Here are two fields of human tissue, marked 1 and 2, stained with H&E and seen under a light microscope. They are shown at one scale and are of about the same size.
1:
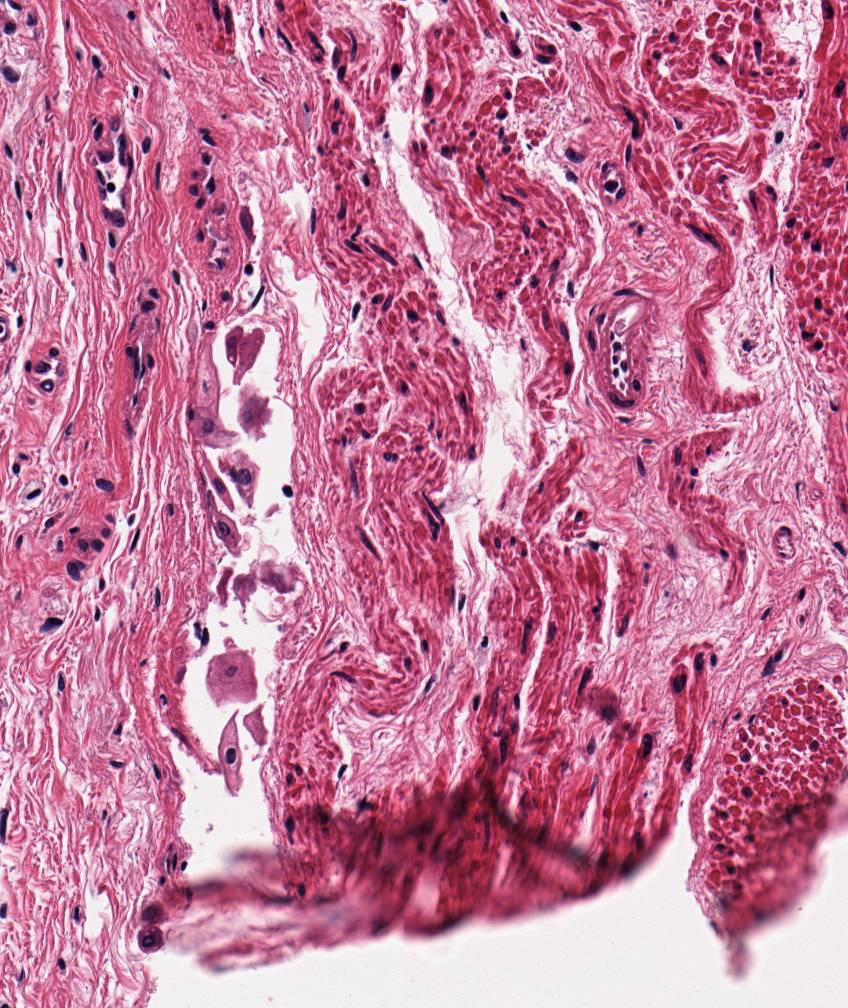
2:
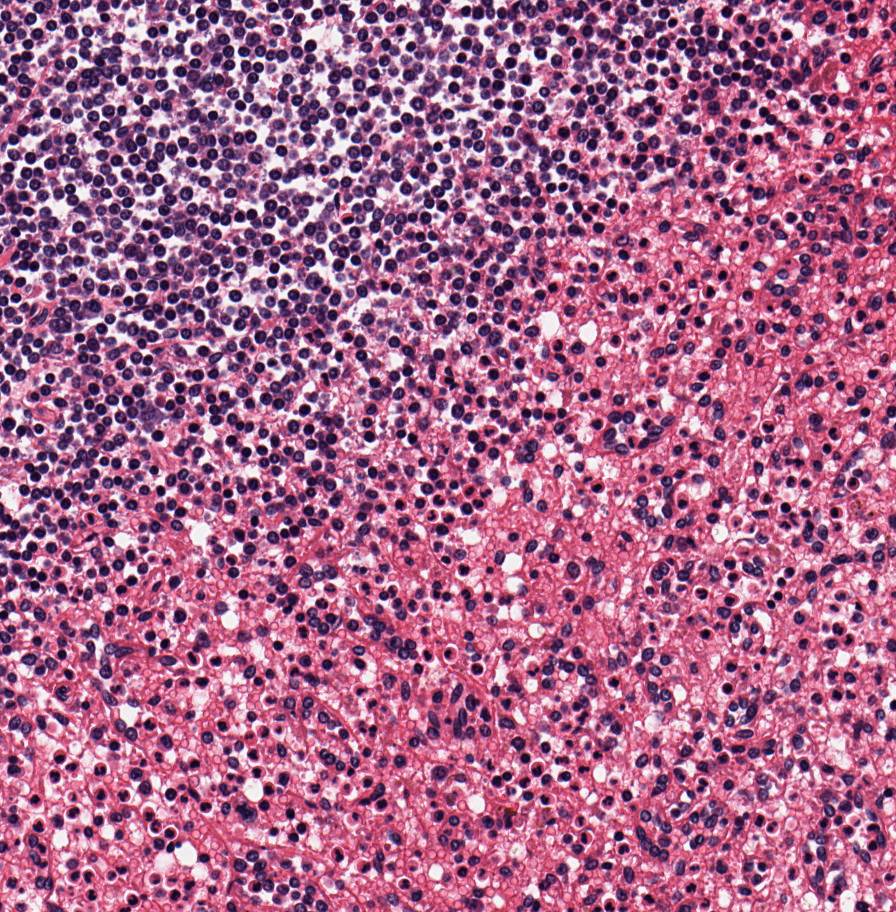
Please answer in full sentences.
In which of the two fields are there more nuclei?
The larger number of nuclei is in field 2.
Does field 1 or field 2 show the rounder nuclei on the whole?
On the whole the nuclei of field 2 are rounder than those of field 1.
